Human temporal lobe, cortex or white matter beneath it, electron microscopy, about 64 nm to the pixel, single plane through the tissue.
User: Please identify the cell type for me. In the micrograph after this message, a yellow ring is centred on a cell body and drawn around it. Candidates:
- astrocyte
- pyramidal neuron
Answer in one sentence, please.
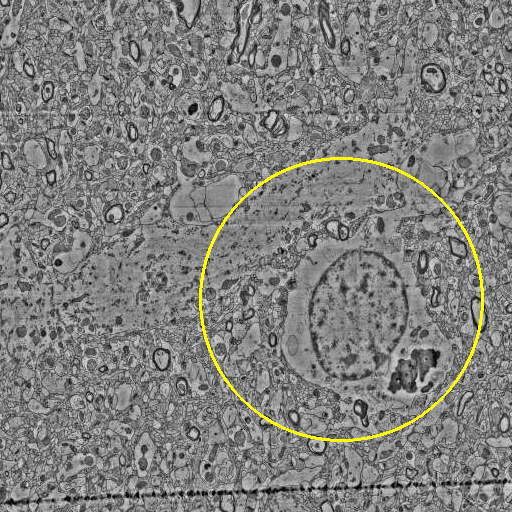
The ring is drawn around the cell body of an astrocyte.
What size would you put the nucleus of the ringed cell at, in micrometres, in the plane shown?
In this plane, about 8 micrometres in length and 6 in width.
